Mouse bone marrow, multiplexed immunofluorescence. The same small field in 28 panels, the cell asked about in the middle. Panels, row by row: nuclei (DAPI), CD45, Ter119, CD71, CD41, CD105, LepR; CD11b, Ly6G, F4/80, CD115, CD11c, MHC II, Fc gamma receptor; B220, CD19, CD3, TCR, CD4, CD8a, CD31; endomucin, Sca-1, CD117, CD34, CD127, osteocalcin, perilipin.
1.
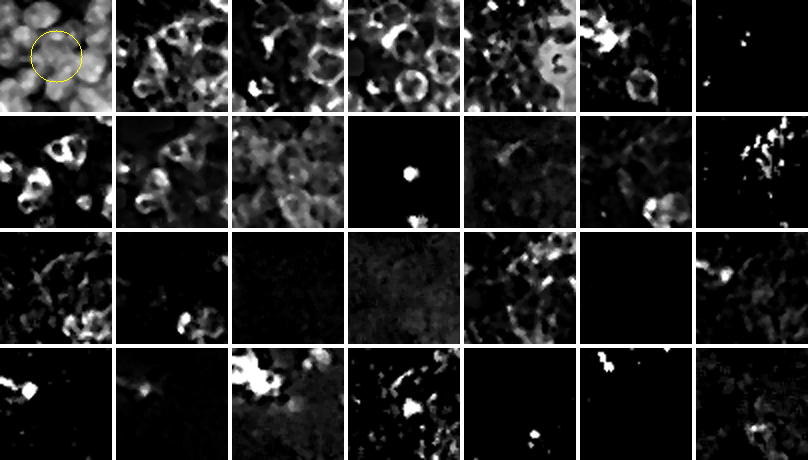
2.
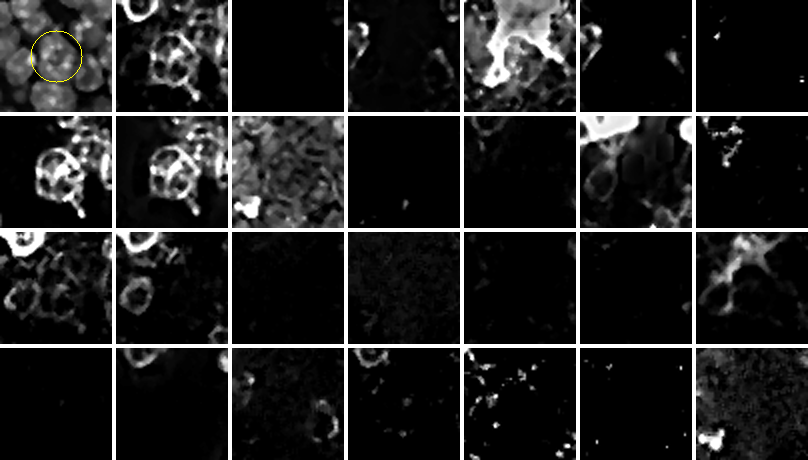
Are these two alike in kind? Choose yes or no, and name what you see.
No. First a monocyte, second a neutrophil.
